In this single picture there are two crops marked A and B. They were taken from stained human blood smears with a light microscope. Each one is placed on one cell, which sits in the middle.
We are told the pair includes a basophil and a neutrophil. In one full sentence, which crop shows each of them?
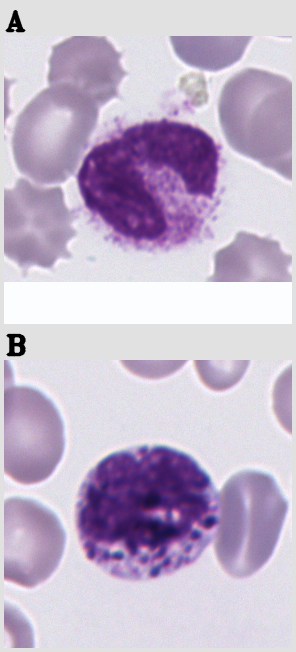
The cell of crop A is a neutrophil; that of crop B is a basophil.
